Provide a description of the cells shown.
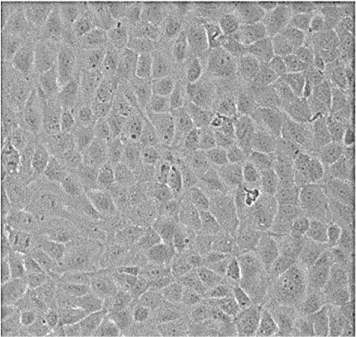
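This is a dense, continuous sheet of flat epithelial cells growing attached to the culture surface. The cells are polygonal and closely apposed, with thin bright borders outlining each one, giving a cobblestone pattern. Only a few cells here and there look brighter or more rounded. The monolayer as a whole appears intact, without gaps between cells.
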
